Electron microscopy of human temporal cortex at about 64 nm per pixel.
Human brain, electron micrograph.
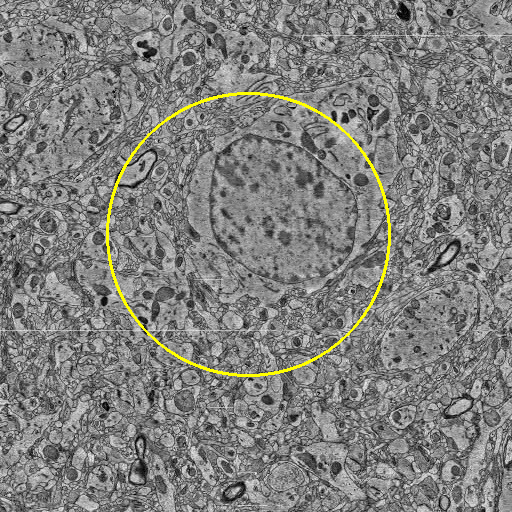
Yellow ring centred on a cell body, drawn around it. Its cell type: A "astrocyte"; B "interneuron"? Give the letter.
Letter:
A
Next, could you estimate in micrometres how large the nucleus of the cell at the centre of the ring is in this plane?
About 11 by 9 micrometers for the nucleus, in this plane.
